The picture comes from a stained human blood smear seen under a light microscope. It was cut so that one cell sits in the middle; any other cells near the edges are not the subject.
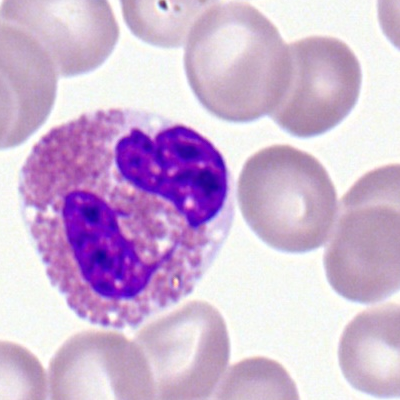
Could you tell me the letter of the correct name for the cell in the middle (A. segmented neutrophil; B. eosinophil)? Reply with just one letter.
B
